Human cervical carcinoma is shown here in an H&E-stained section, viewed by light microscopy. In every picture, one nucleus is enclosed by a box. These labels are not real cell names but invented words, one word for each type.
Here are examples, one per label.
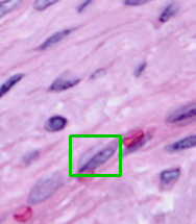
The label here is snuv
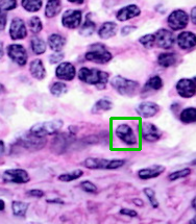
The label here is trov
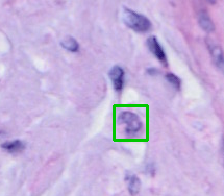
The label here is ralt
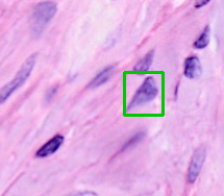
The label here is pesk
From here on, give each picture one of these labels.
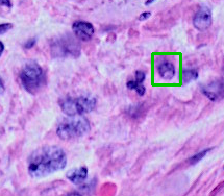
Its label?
ralt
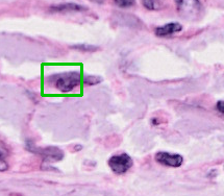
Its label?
ralt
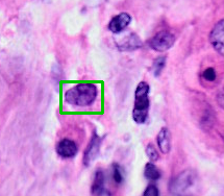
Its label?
ralt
